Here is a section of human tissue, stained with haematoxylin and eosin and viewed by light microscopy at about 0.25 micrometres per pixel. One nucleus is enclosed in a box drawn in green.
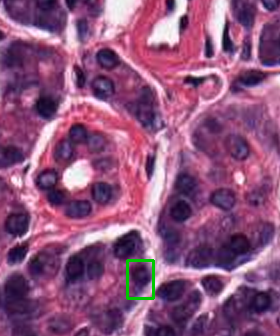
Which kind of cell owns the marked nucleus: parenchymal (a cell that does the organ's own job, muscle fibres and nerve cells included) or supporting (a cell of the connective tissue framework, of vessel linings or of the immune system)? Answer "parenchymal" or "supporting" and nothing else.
parenchymal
